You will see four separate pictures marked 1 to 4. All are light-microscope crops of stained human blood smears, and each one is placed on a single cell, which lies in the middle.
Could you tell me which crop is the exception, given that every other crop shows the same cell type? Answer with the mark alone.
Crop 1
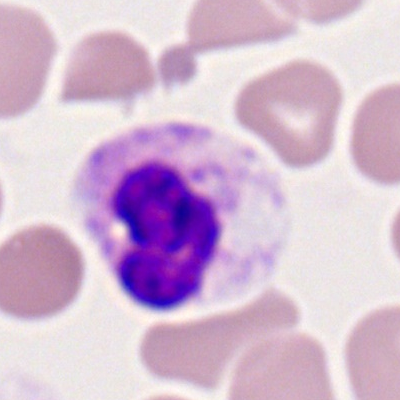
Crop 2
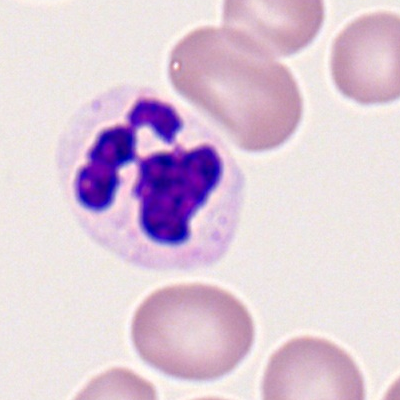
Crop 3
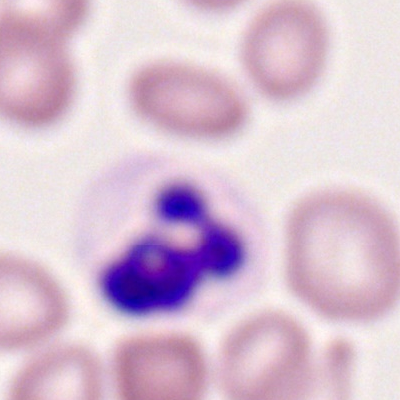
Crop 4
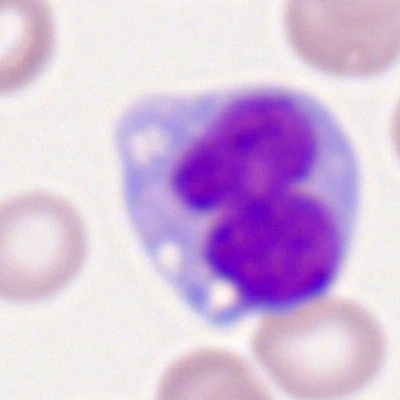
4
